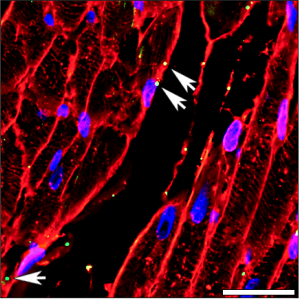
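This is heart muscle cut along its length, with long cardiac muscle cells lying roughly parallel across the field. Each cell is outlined by a bright red border, and faint regular cross-striations run across the red-tinged cytoplasm. Elongated blue nuclei lie within the fibres, and a few small bright green dots sit along the red cell borders, at the arrows.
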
